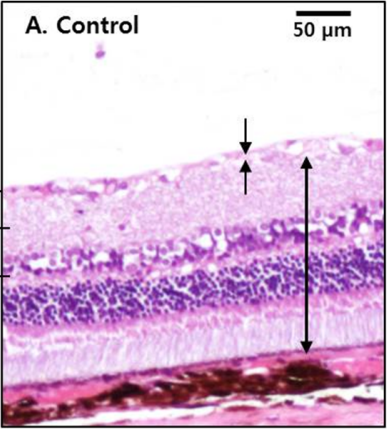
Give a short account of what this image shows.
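A cross-section of retina shows its regular stack of layers. At the inner surface lies a thin band with a sparse row of ganglion cells bearing pale nuclei. Below it is a broad pale pink, finely fibrillar inner plexiform layer, then a band of purple nuclei forming the inner nuclear layer. A thin pale outer plexiform layer separates this from the thick outer nuclear layer of small, round, densely packed dark purple nuclei. Beneath lies the pale pink, vertically striated photoreceptor layer, and at the bottom a dark brown-black pigmented layer with pink tissue around it.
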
